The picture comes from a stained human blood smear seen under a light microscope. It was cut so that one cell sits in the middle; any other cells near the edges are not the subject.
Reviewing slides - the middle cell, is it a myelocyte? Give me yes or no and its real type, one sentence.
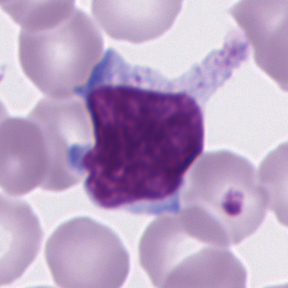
No, the centrally placed cell is a large granular lymphocyte, not a myelocyte.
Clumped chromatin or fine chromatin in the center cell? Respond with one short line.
This nucleus has coarsely clumped chromatin.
